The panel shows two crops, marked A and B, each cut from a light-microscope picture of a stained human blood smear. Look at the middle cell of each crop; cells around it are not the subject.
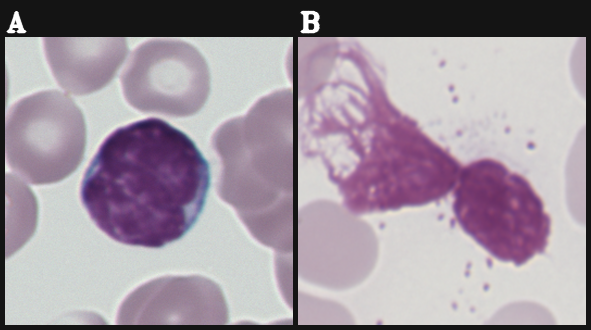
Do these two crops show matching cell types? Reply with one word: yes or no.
no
